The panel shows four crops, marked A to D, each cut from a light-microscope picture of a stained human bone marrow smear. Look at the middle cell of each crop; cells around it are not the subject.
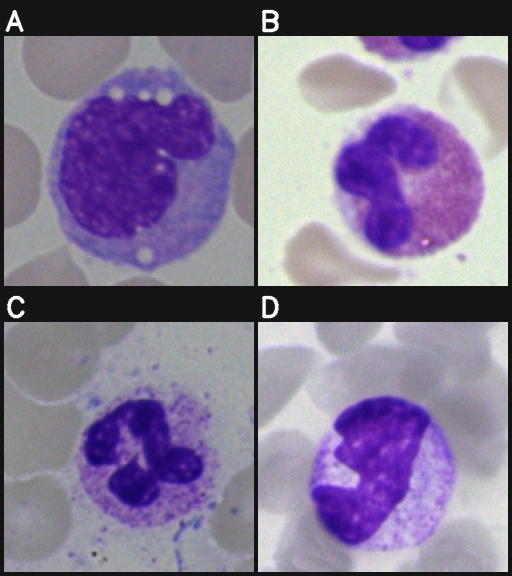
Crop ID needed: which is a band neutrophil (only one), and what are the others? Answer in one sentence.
In crop D the cell is a band neutrophil, whereas crop A is a monocyte, crop B is an eosinophil and crop C is a segmented neutrophil.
